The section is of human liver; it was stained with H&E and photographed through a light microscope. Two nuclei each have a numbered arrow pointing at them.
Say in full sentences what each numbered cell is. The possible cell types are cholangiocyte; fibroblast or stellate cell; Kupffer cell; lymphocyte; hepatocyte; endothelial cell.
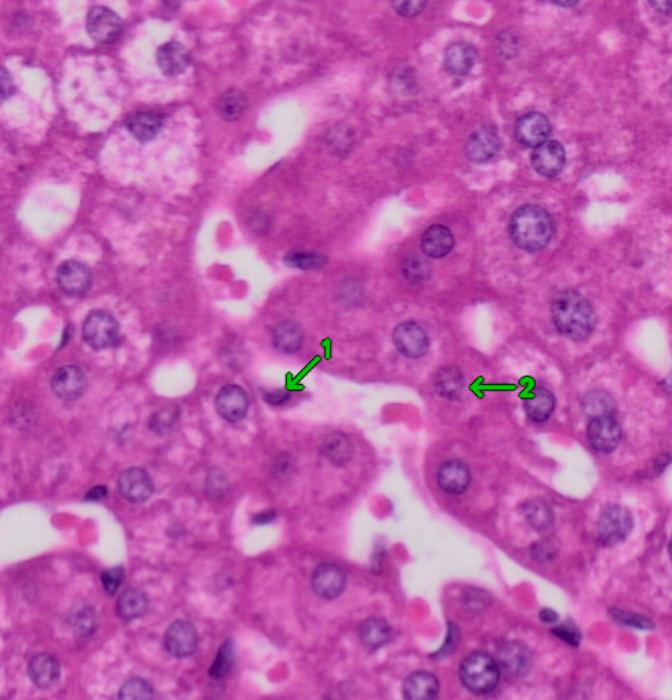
Cell 1 is a Kupffer cell. Cell 2 is a hepatocyte.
